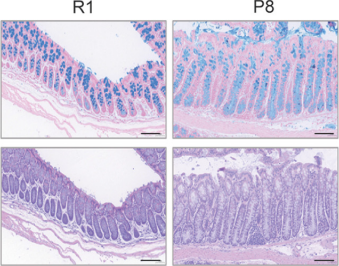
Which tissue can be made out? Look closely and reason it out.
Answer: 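Straight, tubular glands lie side by side perpendicular to the surface. No villi project into the lumen. Many rounded blue-stained vacuoles line the glands in the top row. That points to this answer: colon.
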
